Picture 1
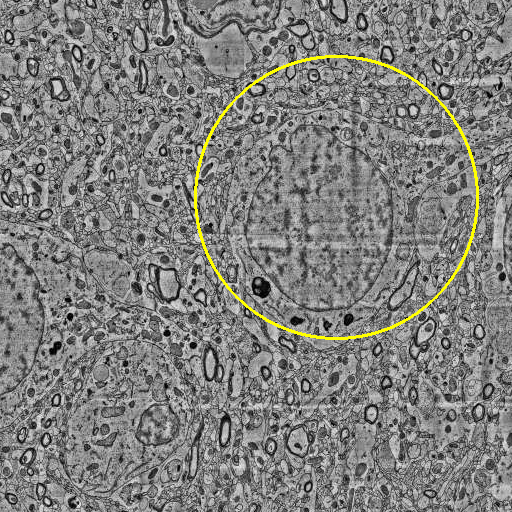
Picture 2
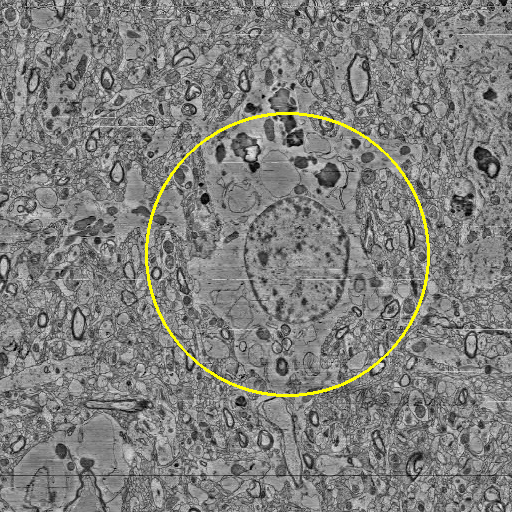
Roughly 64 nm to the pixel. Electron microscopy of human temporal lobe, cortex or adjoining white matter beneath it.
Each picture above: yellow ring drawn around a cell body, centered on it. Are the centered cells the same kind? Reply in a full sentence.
No, the two cells are two kinds of cell.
